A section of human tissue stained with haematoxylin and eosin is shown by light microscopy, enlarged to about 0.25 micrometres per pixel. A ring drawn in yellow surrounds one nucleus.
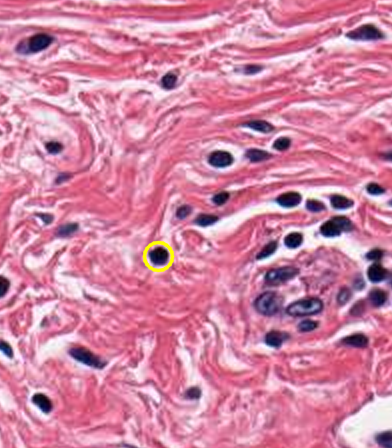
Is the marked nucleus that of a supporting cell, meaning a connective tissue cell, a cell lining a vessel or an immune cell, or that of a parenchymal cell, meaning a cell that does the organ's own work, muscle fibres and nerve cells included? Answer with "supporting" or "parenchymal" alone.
supporting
